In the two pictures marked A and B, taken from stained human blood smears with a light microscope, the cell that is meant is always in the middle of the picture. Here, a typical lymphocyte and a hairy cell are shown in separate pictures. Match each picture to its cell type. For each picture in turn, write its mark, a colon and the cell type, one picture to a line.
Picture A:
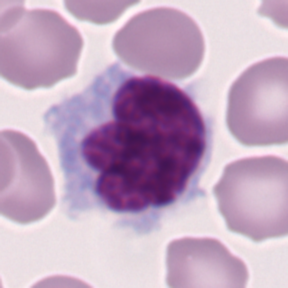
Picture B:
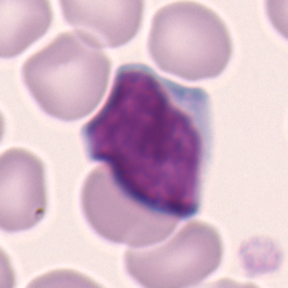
A: hairy cell
B: typical lymphocyte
